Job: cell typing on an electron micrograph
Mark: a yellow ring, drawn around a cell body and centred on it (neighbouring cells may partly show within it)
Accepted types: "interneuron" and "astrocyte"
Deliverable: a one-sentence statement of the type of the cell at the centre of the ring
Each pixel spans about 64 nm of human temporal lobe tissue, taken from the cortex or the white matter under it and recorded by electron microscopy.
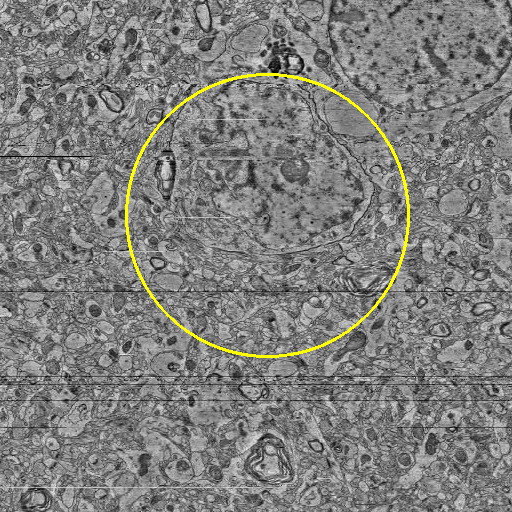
The centred cell body is that of an interneuron.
